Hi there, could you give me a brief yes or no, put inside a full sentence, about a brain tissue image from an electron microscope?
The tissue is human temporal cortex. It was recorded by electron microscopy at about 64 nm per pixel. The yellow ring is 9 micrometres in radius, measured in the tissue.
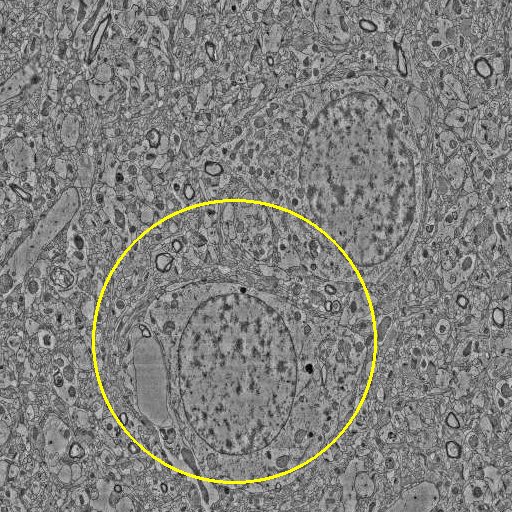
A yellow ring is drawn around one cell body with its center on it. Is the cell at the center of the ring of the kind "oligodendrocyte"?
No, the cell found at the center of the yellow ring is of a different kind.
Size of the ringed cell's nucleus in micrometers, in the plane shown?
In this plane, the nucleus of the cell at the centre of the ring measures about 11 by 8 micrometres.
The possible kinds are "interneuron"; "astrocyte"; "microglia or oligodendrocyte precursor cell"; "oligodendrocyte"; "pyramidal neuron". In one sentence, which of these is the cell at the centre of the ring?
The cell this ring marks is a pyramidal neuron.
